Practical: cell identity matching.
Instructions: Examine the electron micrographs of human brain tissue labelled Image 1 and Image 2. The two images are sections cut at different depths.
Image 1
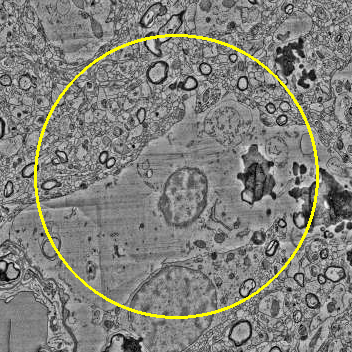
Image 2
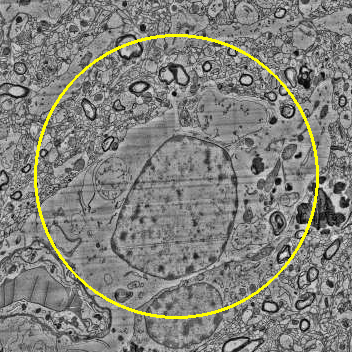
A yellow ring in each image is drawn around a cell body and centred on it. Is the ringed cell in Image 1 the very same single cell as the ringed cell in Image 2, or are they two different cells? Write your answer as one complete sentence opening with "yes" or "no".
Yes, the two yellow circles hold the same cell.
